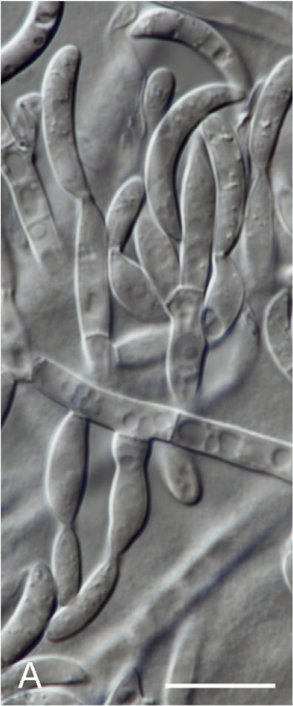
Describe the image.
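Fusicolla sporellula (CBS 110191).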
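Conidiophores of the fungus are shown as branching clusters arising from septate hyphae. A broad hypha with cross walls and rounded vacuoles runs across the field. From the branches arise elongate, cylindrical to spindle-shaped cells, some tapering toward their tips. Several cells appear joined end to end in short chains. Curved spores lie scattered among the branches, and the cytoplasm of many cells contains rounded clear vacuoles.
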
